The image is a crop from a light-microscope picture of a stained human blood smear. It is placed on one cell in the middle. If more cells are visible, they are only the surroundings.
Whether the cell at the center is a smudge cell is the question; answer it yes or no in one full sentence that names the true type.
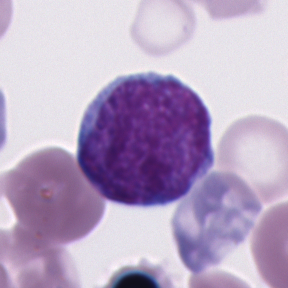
No, the central cell does not represent a smudge cell, but a myeloblast.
